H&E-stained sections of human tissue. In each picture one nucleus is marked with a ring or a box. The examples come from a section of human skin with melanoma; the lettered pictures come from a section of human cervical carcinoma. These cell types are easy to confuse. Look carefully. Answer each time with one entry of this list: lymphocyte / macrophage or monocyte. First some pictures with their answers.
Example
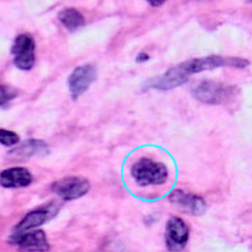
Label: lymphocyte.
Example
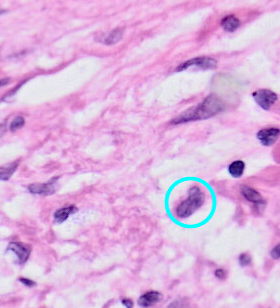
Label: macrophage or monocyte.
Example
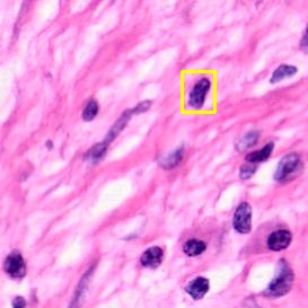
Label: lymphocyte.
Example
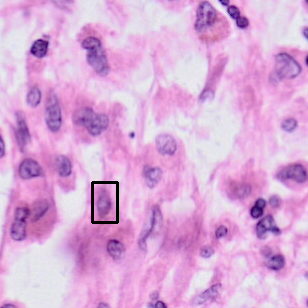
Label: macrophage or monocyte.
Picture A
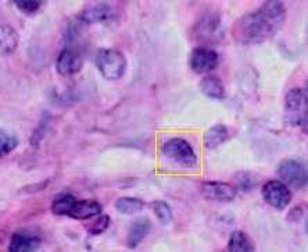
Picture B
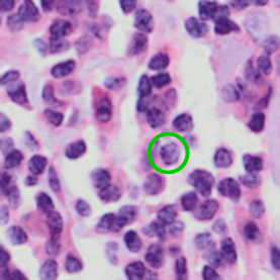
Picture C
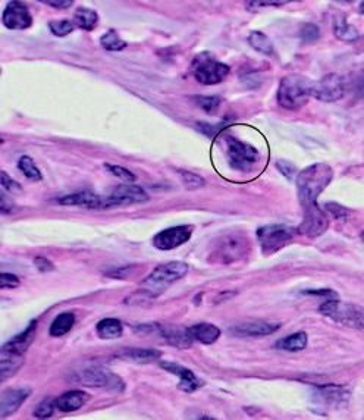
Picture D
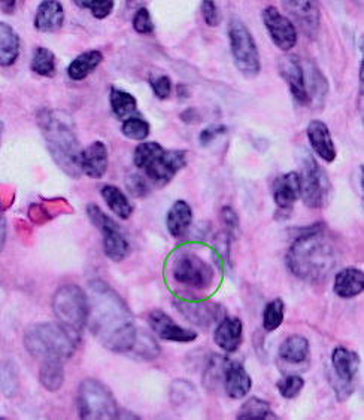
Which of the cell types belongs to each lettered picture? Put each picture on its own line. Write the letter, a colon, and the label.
A: lymphocyte.
B: lymphocyte.
C: lymphocyte.
D: macrophage or monocyte.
